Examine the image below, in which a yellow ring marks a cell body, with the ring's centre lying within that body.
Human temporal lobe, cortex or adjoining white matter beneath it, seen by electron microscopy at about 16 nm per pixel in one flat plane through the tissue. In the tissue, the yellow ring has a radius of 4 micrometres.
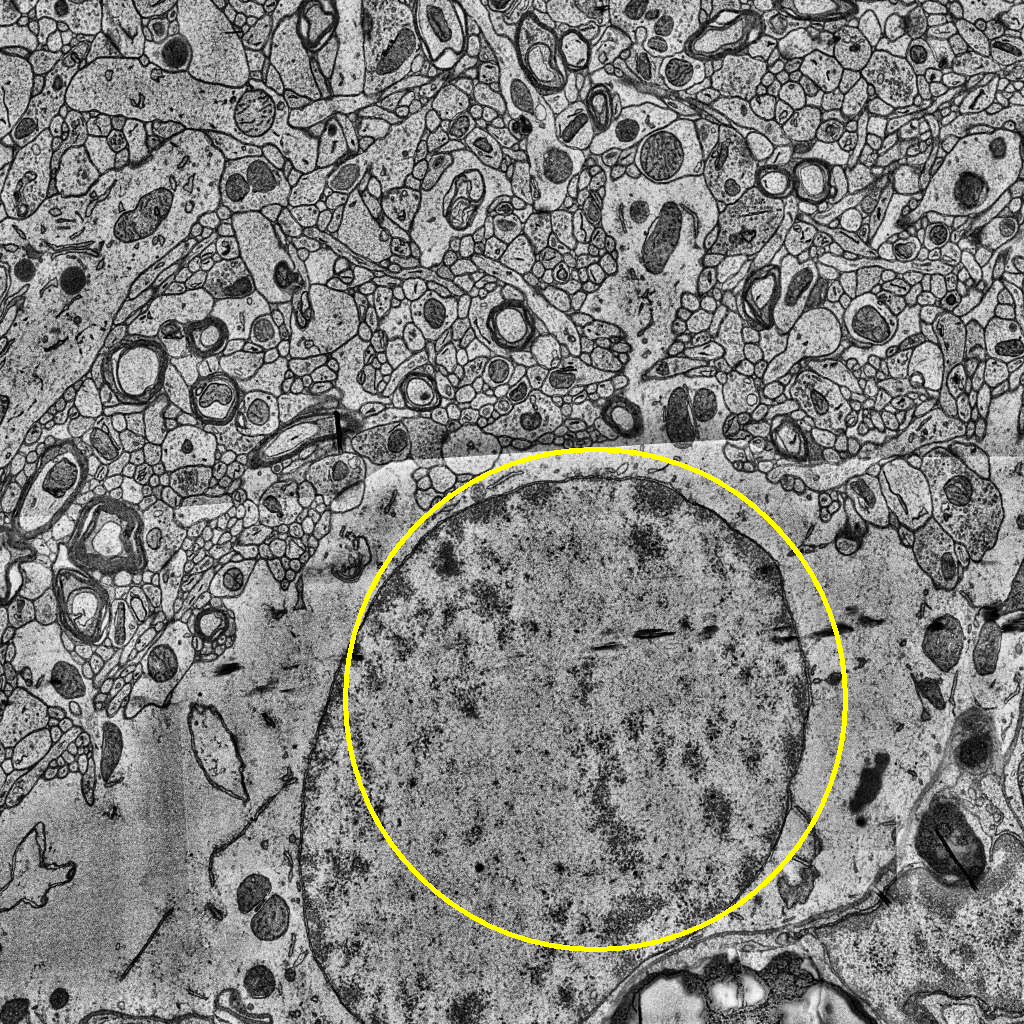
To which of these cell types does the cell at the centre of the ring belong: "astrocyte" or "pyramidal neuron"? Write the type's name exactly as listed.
astrocyte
